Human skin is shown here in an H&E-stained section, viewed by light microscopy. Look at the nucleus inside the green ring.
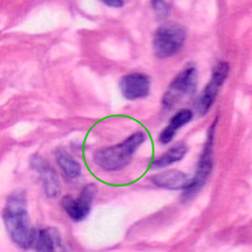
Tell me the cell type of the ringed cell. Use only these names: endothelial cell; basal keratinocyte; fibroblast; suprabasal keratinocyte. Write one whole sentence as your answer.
Typologically, the ringed cell is an endothelial cell in this section.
